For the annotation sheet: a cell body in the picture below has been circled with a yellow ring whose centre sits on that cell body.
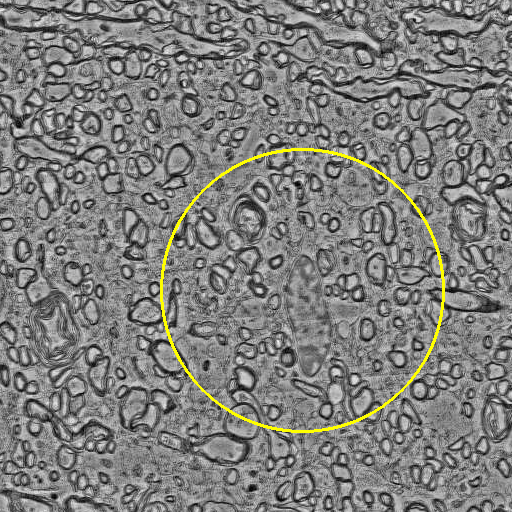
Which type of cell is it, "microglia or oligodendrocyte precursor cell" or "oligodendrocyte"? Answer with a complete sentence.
The circled cell is a microglial cell or oligodendrocyte precursor cell.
